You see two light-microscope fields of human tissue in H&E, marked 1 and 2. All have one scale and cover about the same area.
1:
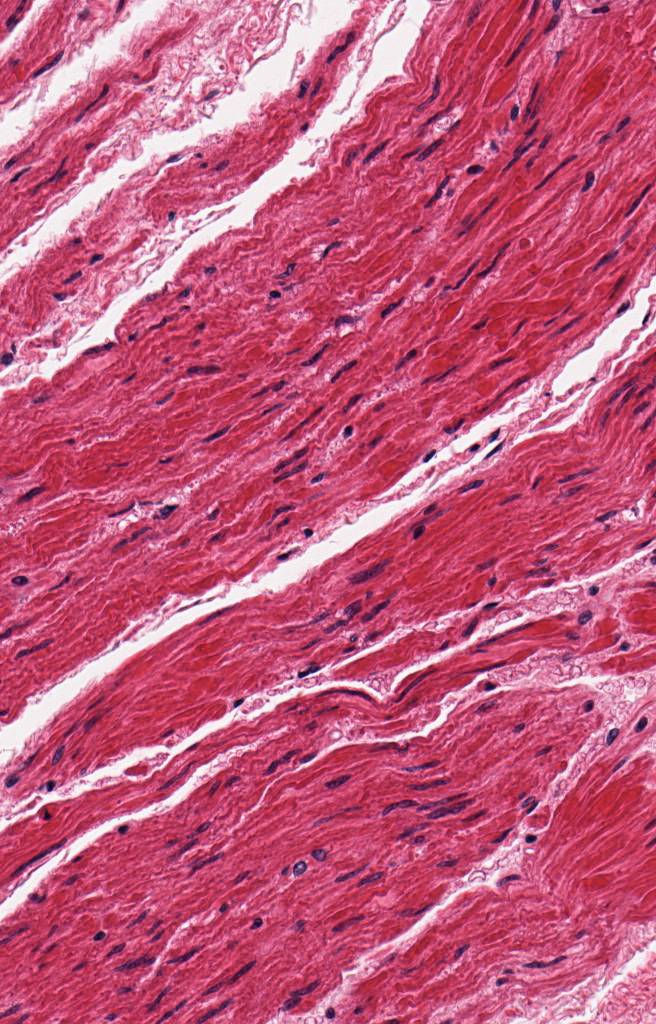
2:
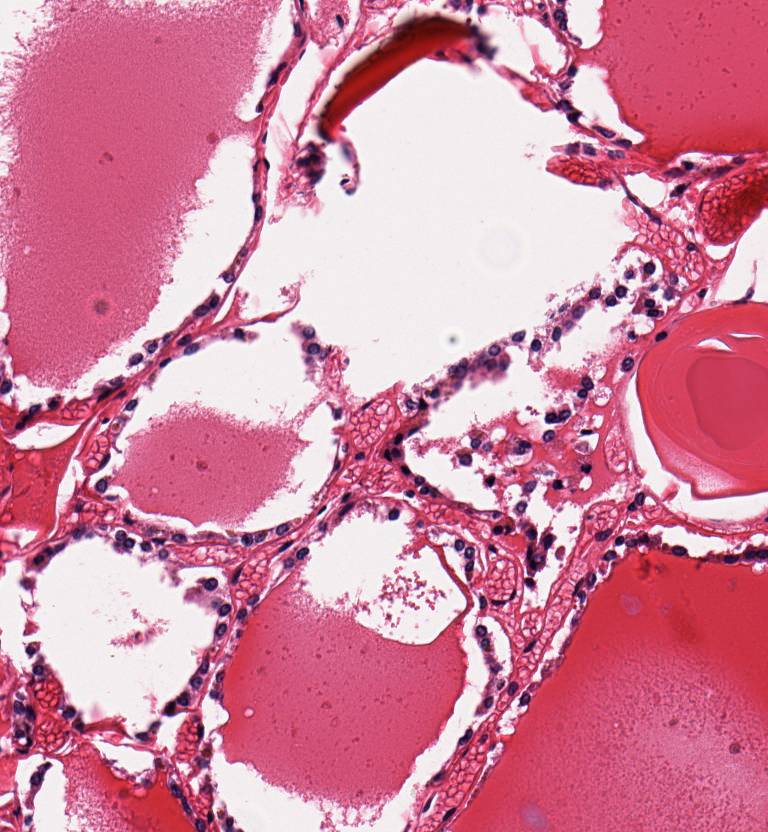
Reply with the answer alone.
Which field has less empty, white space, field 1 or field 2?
1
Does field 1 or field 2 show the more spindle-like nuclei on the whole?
1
